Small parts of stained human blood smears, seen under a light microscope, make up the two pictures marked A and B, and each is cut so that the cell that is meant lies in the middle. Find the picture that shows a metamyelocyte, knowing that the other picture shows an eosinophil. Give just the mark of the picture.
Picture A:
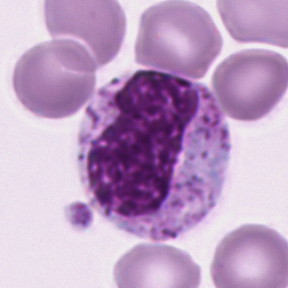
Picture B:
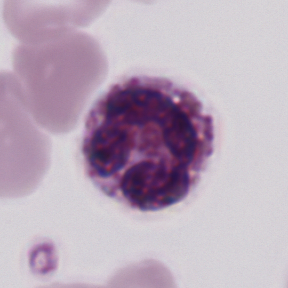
A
